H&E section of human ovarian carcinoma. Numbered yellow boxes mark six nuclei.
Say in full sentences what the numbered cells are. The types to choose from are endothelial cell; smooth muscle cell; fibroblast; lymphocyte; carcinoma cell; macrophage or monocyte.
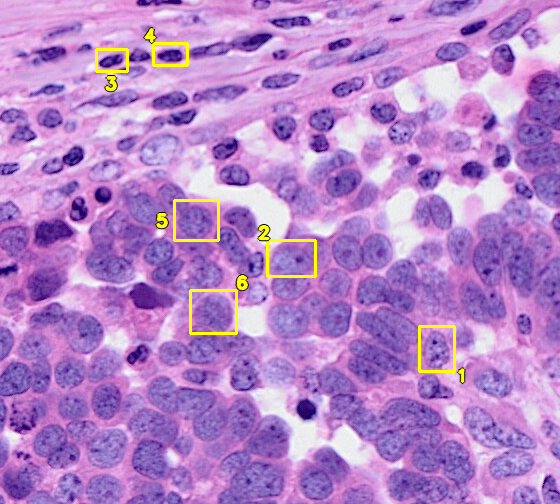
Cell 1 is a macrophage or monocyte. Cells 2, 5 and 6 are carcinoma cells. Cells 3 and 4 are lymphocytes.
